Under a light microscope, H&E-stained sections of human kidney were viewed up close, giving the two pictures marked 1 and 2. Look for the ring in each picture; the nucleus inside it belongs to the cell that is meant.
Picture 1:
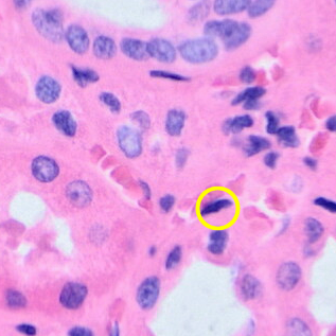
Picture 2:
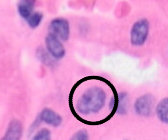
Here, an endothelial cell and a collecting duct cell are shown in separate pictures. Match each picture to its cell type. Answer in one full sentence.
In picture 1 the cell is an endothelial cell; in picture 2, a collecting duct cell.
